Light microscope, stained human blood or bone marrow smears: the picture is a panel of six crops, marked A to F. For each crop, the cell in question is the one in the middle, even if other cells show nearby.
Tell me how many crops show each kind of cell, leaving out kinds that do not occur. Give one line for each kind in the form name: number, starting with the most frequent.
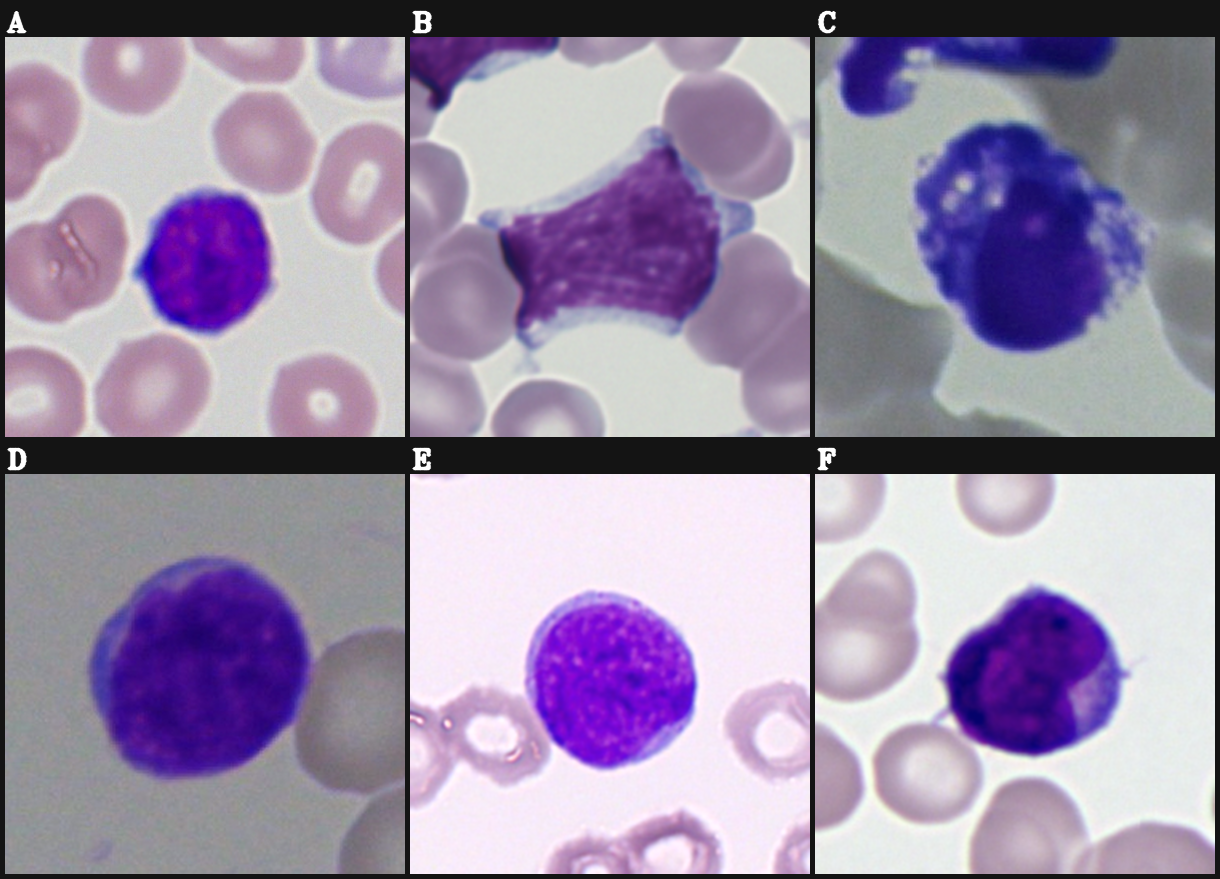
blast: 4
lymphocyte: 2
